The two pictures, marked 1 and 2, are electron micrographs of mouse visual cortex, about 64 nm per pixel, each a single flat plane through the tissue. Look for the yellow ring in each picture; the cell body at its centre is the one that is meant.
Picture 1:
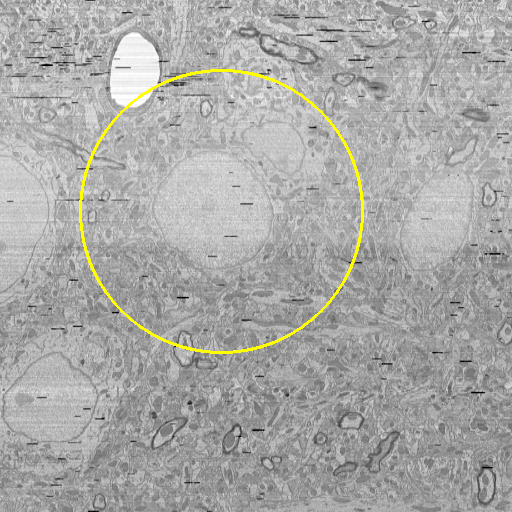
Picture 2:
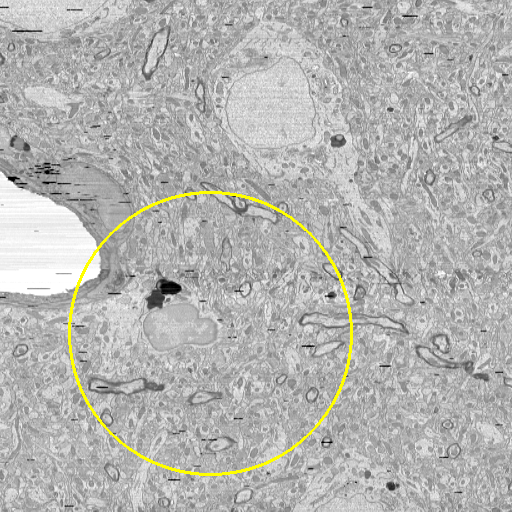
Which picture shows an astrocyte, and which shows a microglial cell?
Picture 2 shows a microglial cell, while picture 1 shows an astrocyte.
